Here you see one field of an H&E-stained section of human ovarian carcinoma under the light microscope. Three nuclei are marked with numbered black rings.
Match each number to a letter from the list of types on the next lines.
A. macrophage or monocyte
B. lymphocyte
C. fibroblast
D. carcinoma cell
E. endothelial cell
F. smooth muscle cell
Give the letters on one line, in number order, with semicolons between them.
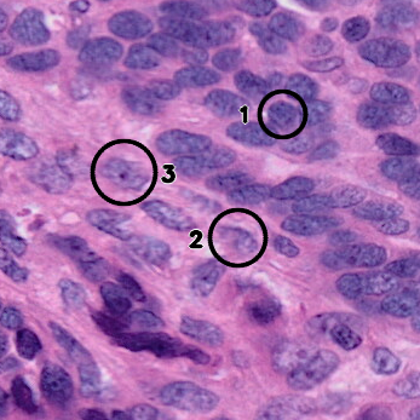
D; C; C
